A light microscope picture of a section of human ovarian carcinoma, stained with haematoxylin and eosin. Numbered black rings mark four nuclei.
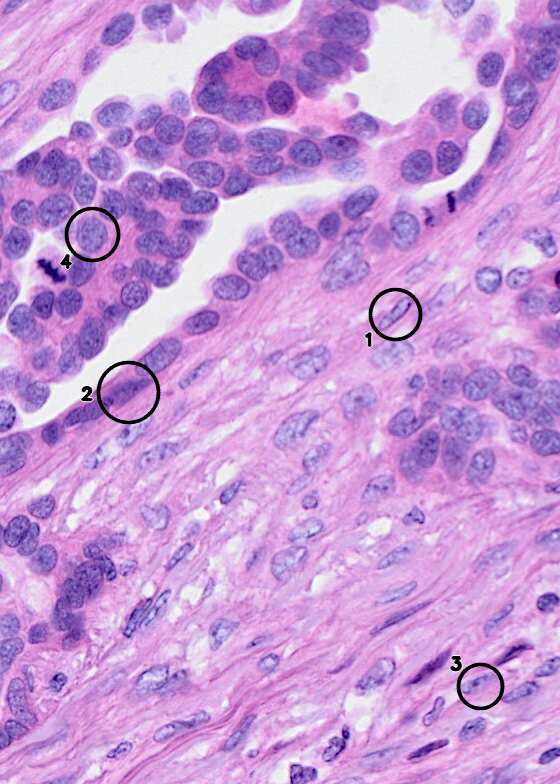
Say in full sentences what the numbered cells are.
Cells 1 and 3 are fibroblasts. Cells 2 and 4 are carcinoma cells.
